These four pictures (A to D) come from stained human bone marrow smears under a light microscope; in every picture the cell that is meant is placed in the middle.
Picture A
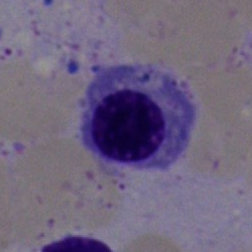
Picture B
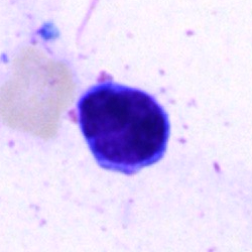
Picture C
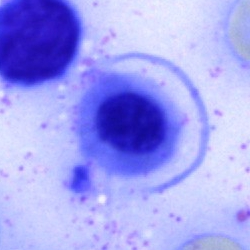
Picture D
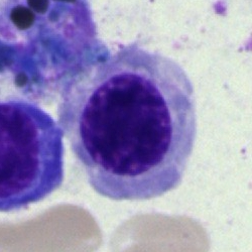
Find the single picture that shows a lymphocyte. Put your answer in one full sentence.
The lymphocyte is the one in picture B.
